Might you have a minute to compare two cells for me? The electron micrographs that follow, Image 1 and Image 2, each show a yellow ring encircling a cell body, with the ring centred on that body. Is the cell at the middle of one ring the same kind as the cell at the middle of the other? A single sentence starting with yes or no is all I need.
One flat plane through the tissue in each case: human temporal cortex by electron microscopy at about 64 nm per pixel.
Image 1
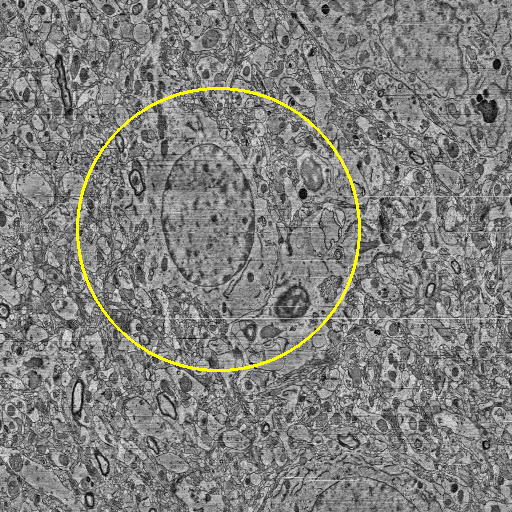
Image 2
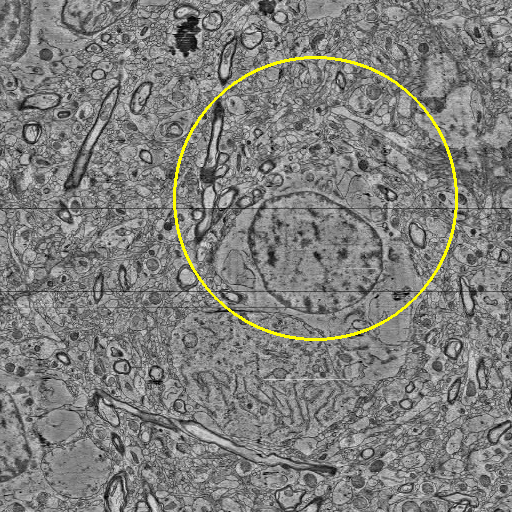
Yes, the cells in the middle of the two rings are of one shared kind.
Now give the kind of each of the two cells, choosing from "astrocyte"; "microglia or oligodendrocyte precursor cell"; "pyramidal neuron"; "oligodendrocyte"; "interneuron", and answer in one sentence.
In both pictures the ring is centred on an astrocyte.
